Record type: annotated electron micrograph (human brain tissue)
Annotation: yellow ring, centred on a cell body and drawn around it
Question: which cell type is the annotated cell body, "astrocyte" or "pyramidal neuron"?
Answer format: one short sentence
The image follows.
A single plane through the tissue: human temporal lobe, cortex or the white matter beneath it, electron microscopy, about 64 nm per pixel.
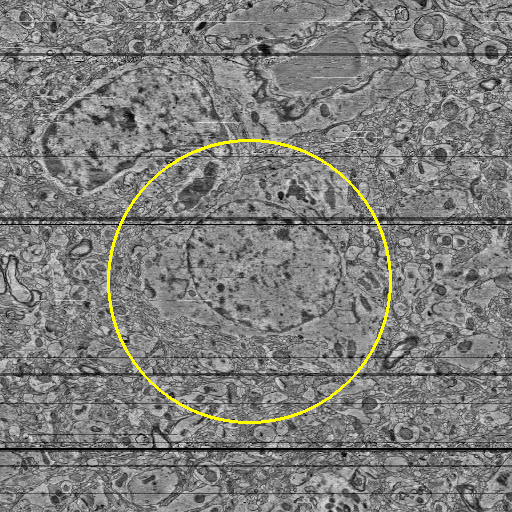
The annotated cell body is that of an astrocyte.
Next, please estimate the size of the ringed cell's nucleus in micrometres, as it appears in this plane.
In this plane, the nucleus of the cell at the centre of the ring measures about 11 by 8 micrometres.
